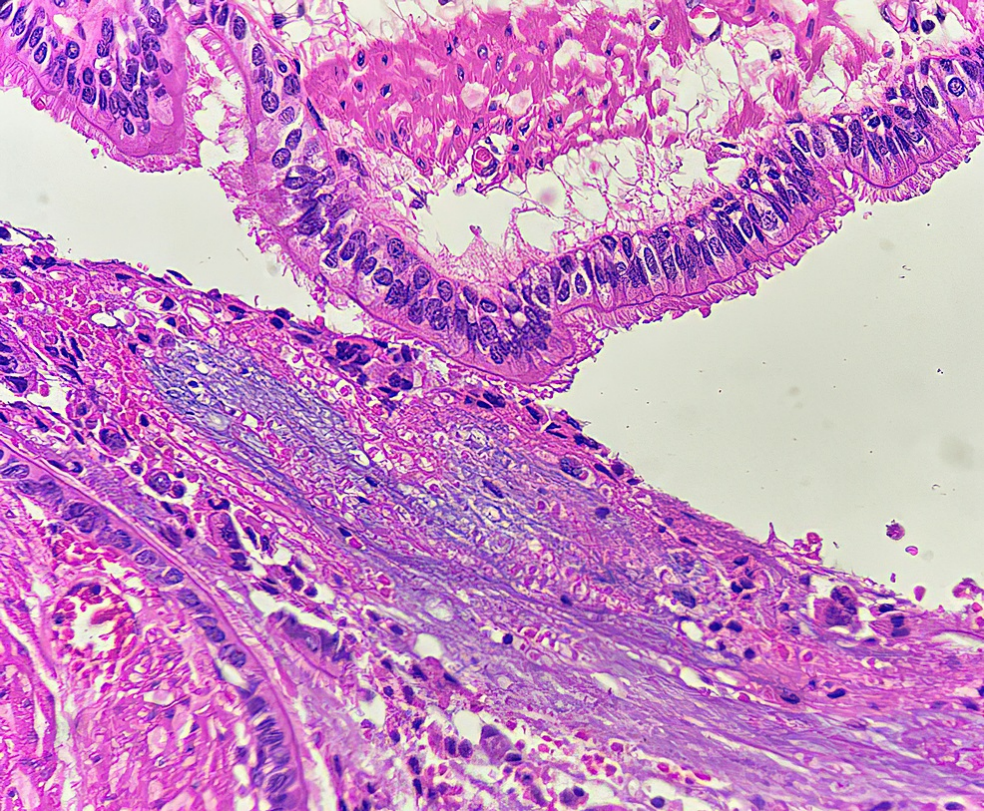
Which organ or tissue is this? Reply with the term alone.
Respiratory epithelium.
